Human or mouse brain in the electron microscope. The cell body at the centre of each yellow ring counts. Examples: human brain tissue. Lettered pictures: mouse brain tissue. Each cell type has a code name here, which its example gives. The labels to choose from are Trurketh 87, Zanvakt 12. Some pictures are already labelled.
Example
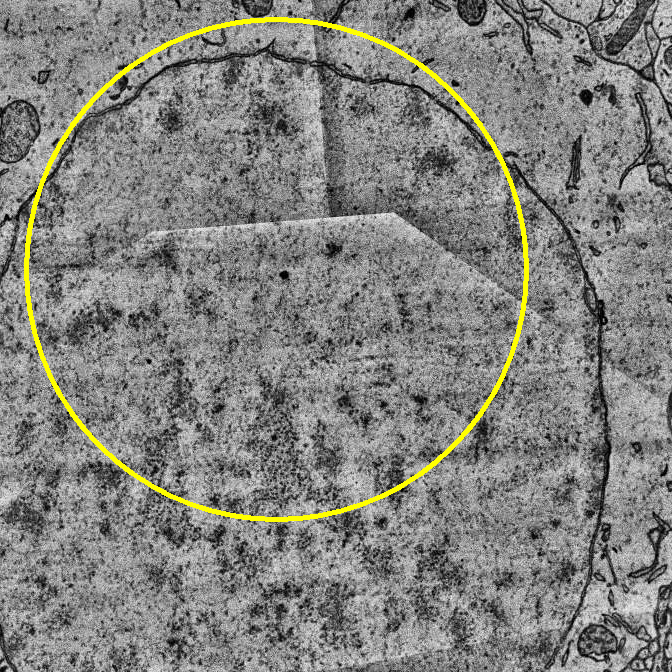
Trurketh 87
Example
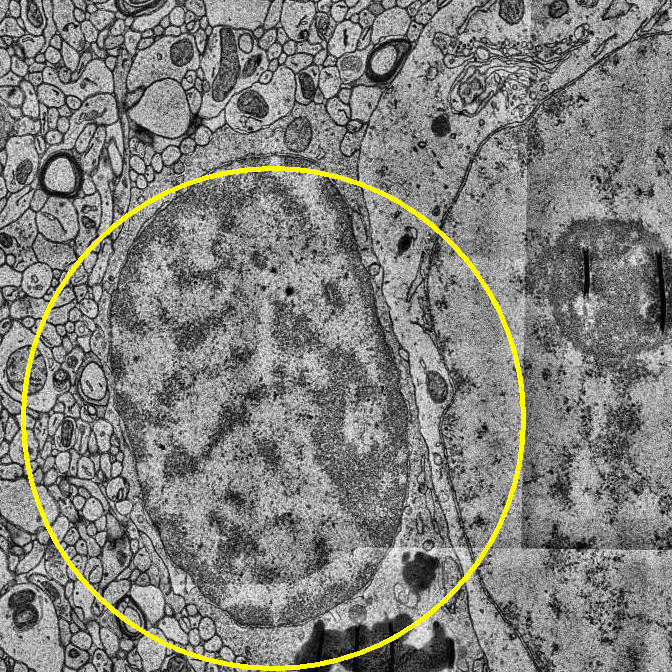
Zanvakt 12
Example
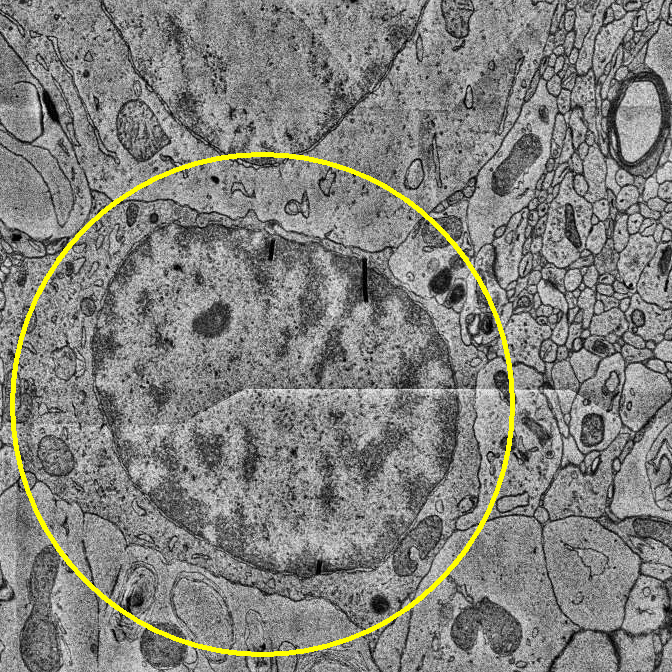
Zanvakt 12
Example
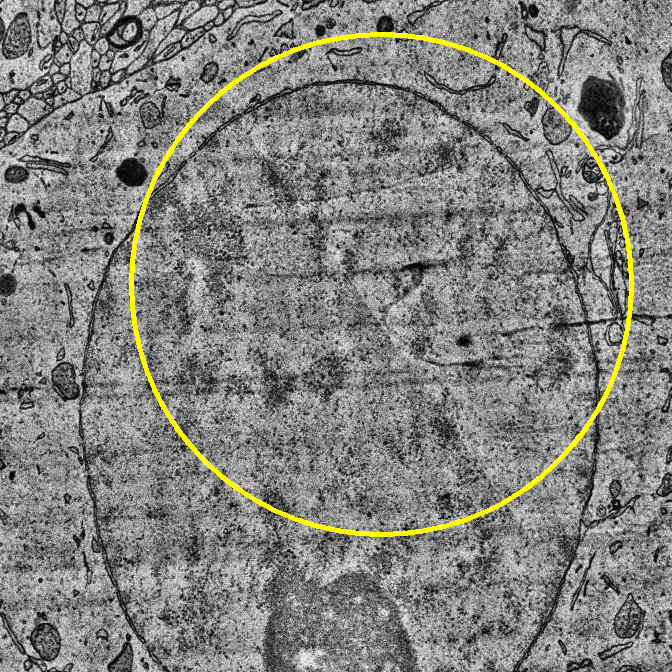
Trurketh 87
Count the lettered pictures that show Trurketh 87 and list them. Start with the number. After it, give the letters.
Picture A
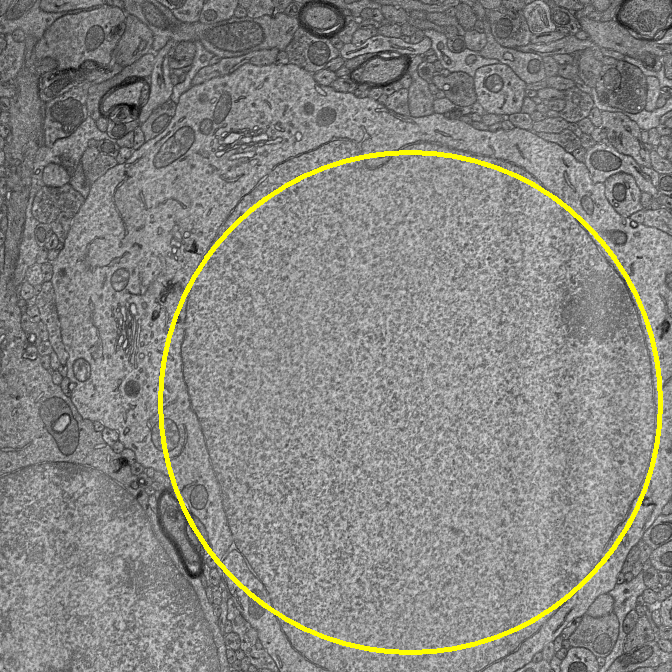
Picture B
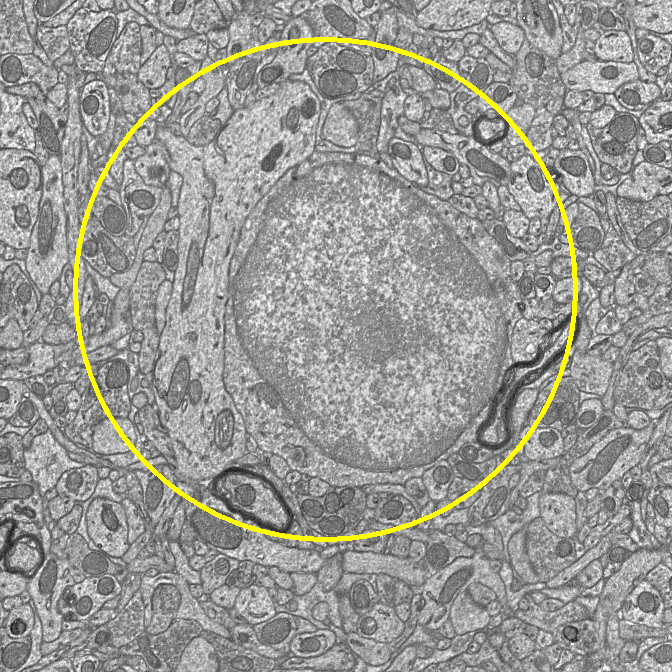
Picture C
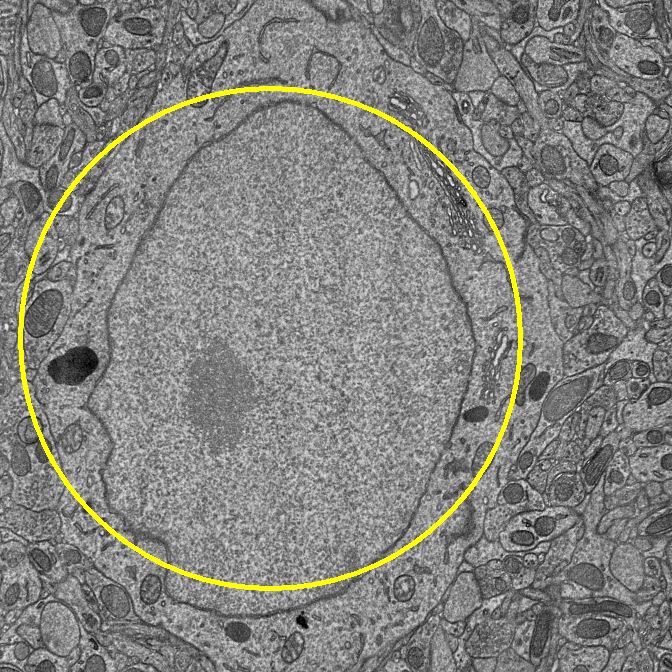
2: A, C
